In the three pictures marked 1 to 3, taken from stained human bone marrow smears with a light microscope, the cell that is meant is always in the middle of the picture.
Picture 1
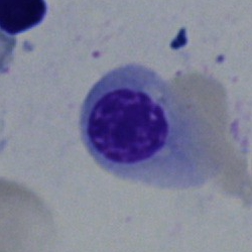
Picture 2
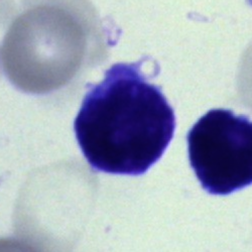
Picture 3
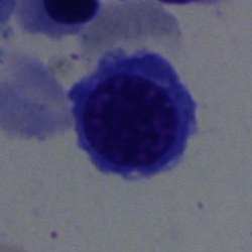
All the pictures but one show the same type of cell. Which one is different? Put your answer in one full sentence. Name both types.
Picture 2 is the odd one out: it shows a blast, while the others show erythroblasts.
